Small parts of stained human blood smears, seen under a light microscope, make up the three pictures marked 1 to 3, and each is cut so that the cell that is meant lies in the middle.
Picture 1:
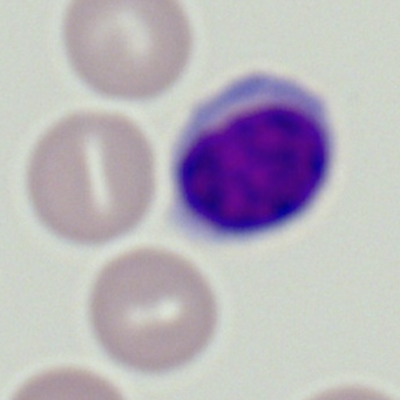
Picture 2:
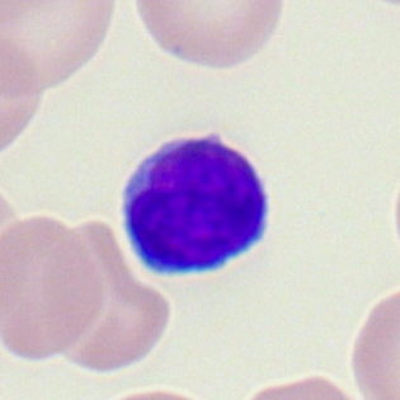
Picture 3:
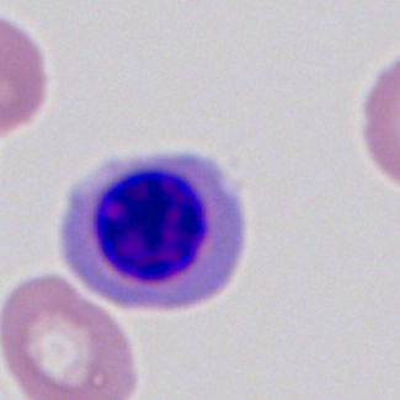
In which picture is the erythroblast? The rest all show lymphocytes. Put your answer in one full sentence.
The erythroblast is the one in picture 3.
